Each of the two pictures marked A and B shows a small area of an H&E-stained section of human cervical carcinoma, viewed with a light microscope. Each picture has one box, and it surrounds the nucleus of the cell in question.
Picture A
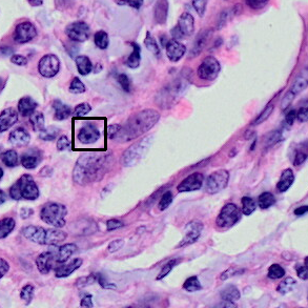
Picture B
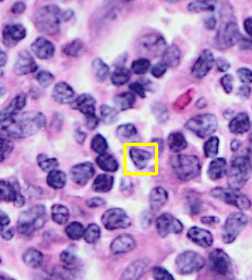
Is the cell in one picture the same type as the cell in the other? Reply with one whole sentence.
Yes, both are lymphocytes.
